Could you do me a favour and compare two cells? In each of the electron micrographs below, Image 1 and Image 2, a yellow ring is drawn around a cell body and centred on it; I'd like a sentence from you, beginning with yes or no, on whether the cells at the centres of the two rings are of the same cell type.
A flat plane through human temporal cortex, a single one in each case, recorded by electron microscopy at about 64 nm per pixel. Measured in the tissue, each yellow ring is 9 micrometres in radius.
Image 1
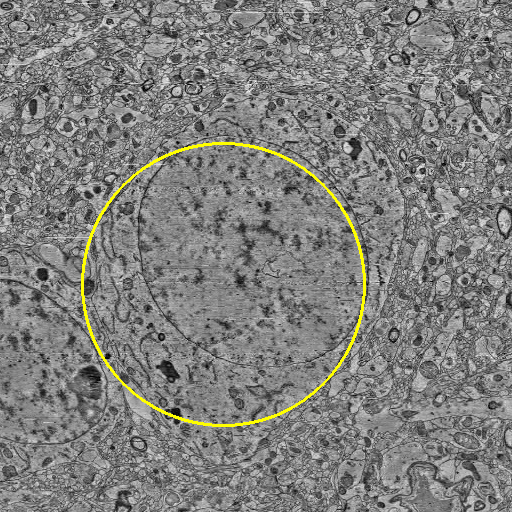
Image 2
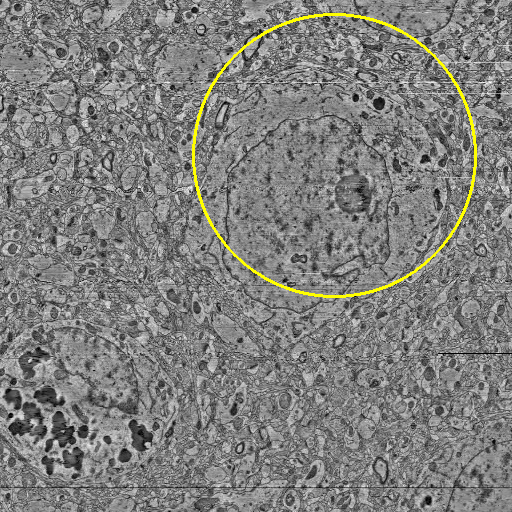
Yes, the two cells are of the same cell type.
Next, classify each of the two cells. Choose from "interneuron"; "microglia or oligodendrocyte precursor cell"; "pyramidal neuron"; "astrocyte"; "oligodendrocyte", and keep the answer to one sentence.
Each cell, in the first picture and the second, is a pyramidal neuron.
